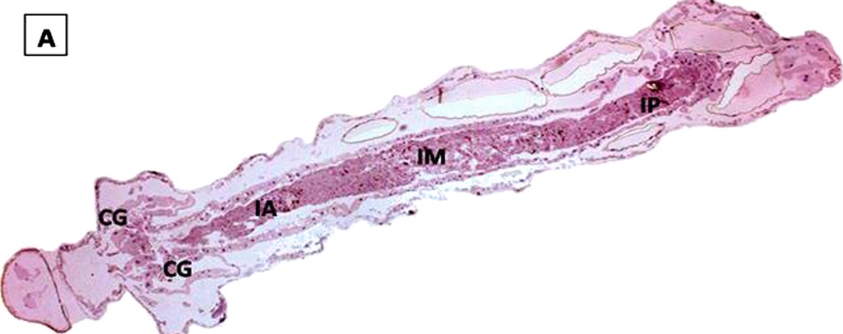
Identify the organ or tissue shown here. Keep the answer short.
Digestive tract.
